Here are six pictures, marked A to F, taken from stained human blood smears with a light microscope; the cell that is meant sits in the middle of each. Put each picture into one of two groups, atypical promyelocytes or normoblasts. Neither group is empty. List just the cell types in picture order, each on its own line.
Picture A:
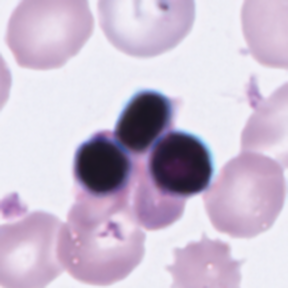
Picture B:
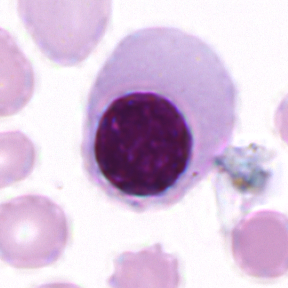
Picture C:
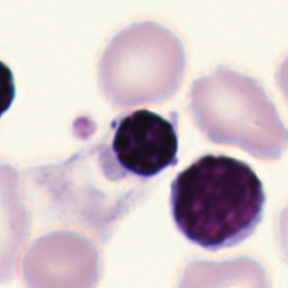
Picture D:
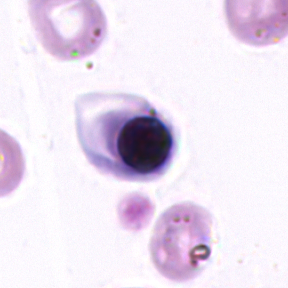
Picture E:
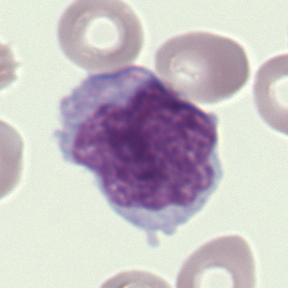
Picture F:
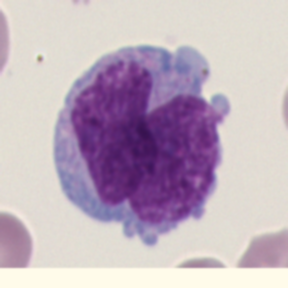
normoblast
normoblast
normoblast
normoblast
atypical promyelocyte
atypical promyelocyte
